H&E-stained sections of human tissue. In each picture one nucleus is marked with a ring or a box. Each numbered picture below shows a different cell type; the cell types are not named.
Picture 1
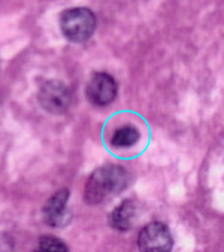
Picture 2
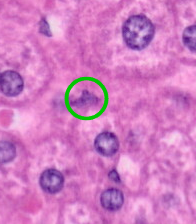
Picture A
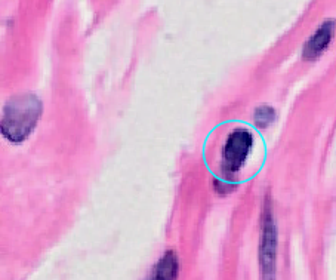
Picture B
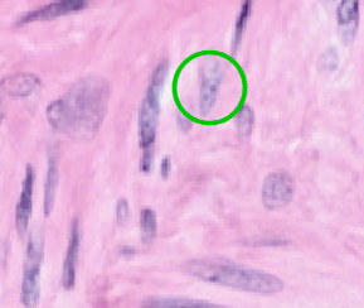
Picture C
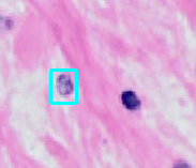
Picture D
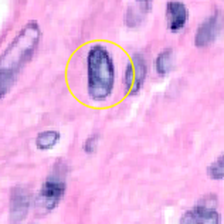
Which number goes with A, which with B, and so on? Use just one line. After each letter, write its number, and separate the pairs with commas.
A 1, B 2, C 1, D 2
